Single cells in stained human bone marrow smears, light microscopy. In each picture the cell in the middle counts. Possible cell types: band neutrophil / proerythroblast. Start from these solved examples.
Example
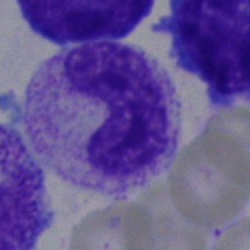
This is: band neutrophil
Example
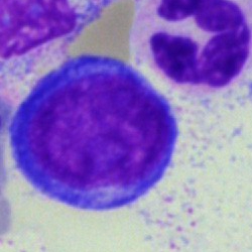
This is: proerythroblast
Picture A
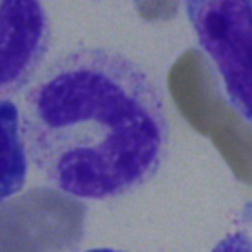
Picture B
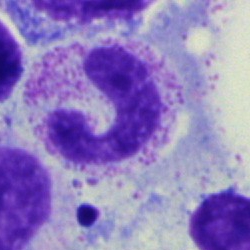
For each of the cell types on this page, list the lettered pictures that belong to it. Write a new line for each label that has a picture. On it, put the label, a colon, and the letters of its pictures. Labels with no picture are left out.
band neutrophil: A, B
